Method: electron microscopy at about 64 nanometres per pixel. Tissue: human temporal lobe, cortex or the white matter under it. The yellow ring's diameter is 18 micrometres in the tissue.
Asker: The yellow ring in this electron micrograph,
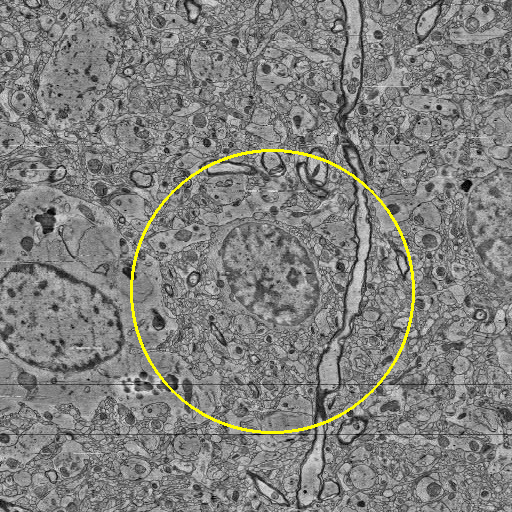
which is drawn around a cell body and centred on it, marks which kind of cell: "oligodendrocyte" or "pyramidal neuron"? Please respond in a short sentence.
The marked cell is an oligodendrocyte.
